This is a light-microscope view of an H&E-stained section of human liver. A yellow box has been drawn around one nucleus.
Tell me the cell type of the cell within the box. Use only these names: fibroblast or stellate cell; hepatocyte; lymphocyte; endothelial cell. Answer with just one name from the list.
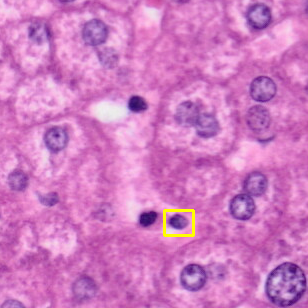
lymphocyte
